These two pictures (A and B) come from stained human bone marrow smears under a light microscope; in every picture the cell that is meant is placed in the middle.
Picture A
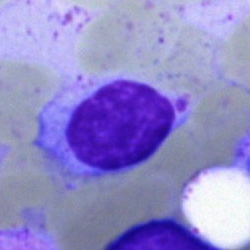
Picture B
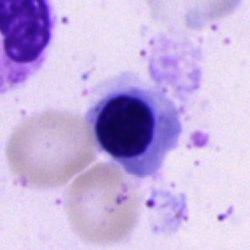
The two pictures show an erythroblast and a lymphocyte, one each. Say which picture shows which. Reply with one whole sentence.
Picture A is of a lymphocyte, and picture B is of an erythroblast.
